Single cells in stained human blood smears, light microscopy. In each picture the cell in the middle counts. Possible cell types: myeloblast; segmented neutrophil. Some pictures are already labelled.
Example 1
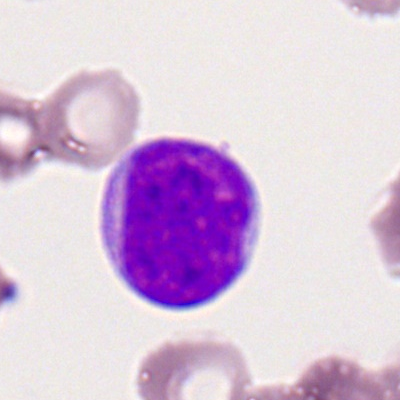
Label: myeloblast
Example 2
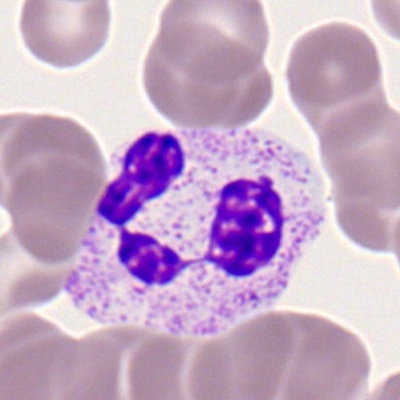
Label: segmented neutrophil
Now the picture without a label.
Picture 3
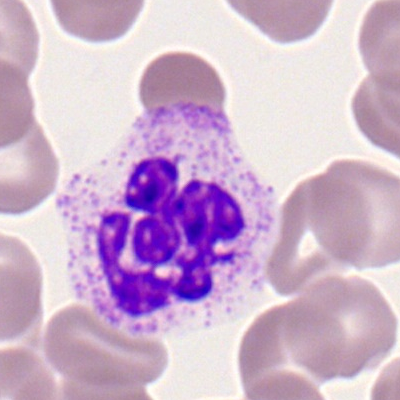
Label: segmented neutrophil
